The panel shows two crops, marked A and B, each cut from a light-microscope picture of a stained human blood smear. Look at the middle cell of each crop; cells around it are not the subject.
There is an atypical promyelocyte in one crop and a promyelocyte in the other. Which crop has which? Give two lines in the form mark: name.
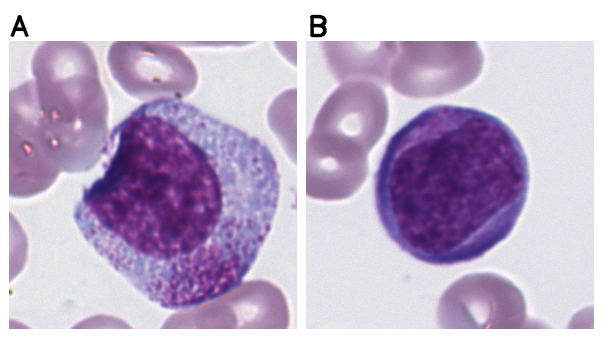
A: promyelocyte
B: atypical promyelocyte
